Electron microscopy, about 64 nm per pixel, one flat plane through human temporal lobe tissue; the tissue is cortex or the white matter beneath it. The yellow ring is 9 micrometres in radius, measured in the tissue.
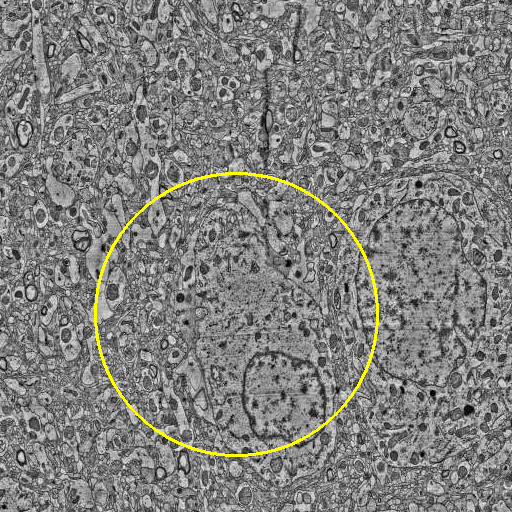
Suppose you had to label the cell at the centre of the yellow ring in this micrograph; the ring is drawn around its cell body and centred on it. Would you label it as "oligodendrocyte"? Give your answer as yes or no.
Yes, I would label it that way.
